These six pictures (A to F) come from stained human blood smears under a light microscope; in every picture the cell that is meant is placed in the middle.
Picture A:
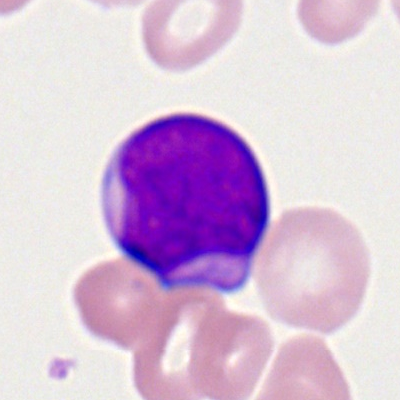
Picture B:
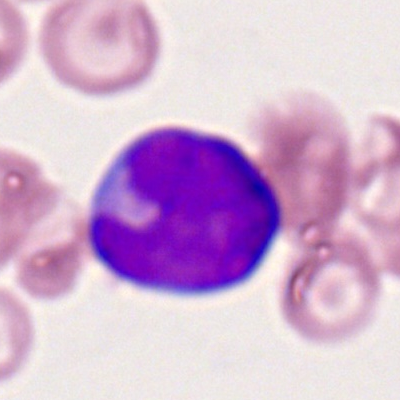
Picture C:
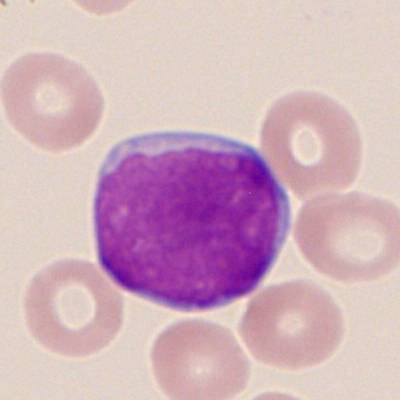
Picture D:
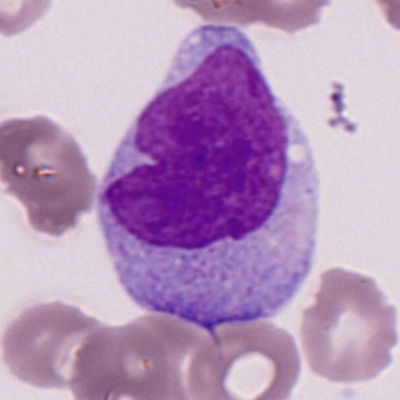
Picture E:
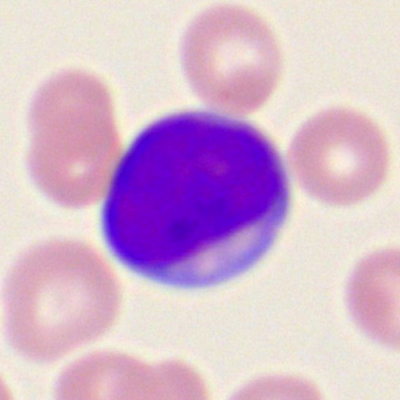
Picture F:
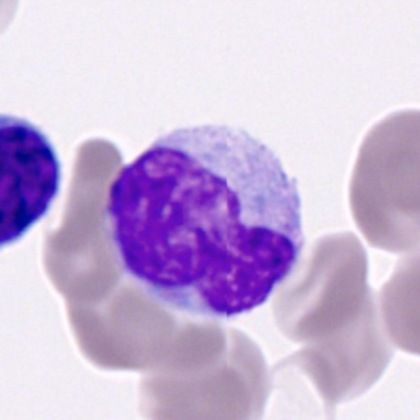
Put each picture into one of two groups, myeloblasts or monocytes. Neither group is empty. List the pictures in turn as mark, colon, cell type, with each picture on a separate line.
A: myeloblast
B: myeloblast
C: myeloblast
D: monocyte
E: myeloblast
F: monocyte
